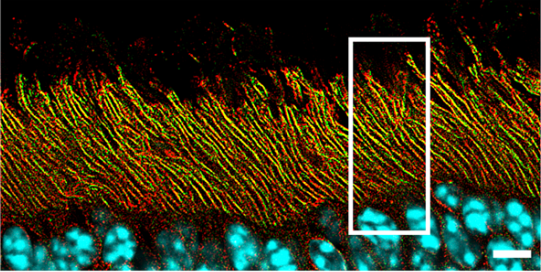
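This is a section through the photoreceptor layer of the retina, showing the band of inner segments above the outer nuclear layer. Along the bottom lies a row of densely packed, round cyan nuclei with clumped chromatin. Above them, long thin streaks of green and red, largely overlapping to yellow, run in parallel and slant upward, outlining the membranes of the slender inner segments. Toward the top the streaks become fragmented and give way to dark background.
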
